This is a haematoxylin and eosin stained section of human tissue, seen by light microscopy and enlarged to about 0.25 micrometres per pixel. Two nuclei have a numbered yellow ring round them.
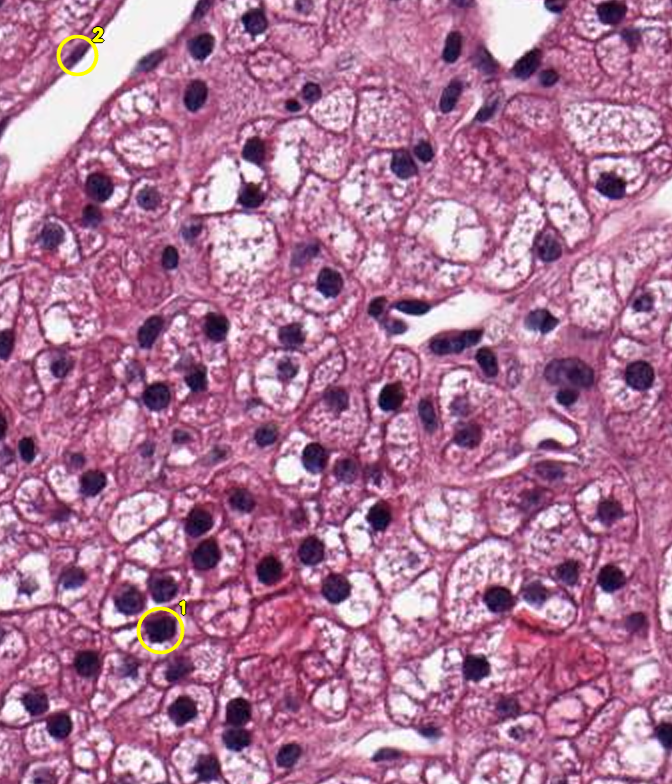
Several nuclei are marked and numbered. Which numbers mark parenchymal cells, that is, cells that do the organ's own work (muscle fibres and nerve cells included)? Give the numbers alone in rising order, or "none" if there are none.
1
